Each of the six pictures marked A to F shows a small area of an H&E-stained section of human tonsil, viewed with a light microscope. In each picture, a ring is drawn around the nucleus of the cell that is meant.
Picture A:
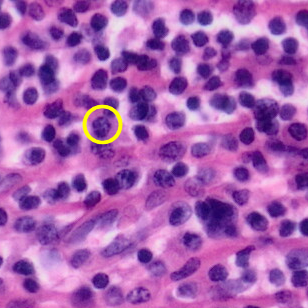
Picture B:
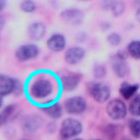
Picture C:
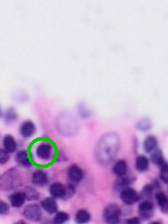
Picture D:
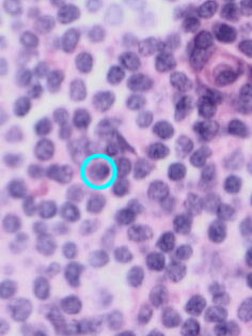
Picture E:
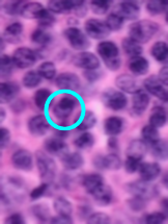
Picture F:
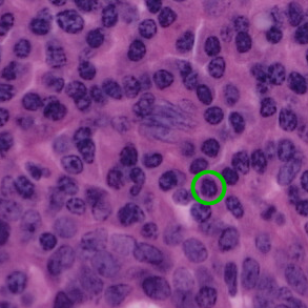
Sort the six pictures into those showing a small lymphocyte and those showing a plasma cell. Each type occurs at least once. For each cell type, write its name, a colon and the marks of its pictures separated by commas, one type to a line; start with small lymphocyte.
small lymphocyte: B, C, D, E
plasma cell: A, F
